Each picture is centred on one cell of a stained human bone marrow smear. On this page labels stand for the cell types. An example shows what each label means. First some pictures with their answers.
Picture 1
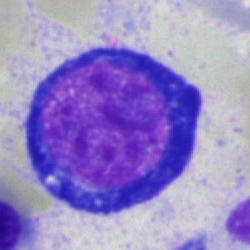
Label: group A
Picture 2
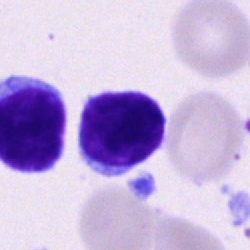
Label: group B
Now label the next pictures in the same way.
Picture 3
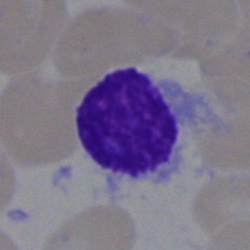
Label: group B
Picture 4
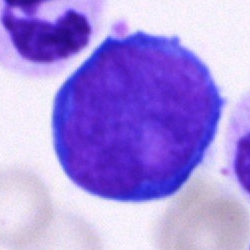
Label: group A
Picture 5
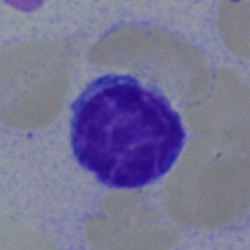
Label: group B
